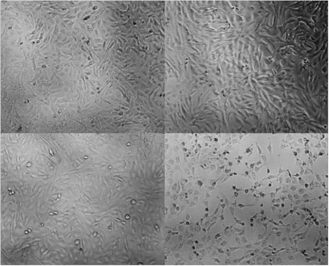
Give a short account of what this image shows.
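Cultured cells in a phase-contrast view, split into four fields. Most fields show a confluent layer of elongated, spindle-shaped cells lying side by side in parallel streams. In the lower right field the cells are sparse, many are small and rounded or shrunken, and much of the surface is bare.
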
